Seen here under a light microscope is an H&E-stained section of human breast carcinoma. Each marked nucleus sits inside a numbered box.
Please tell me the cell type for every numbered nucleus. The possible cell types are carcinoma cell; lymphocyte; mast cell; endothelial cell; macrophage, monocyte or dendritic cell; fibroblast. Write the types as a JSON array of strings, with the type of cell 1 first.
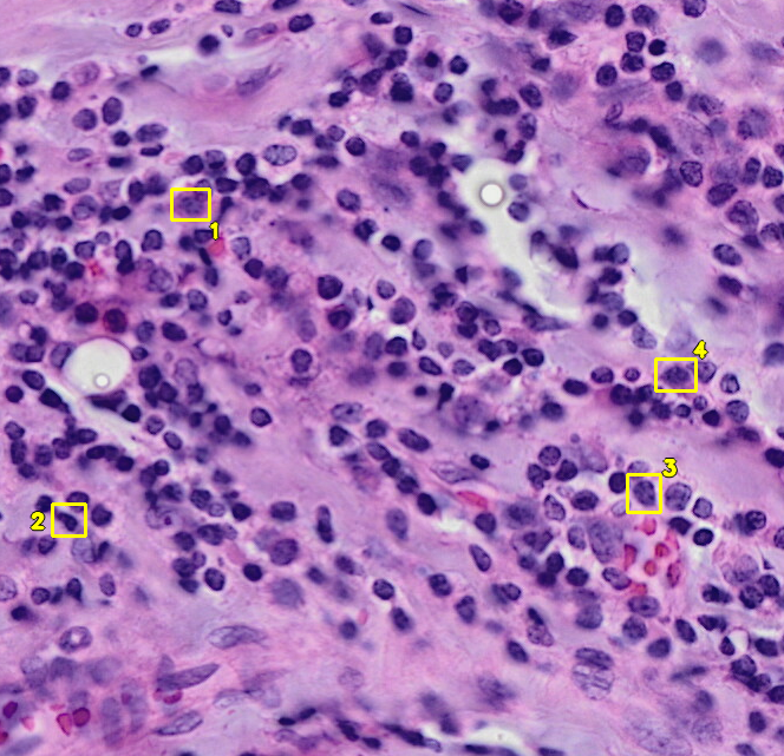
["mast cell", "lymphocyte", "lymphocyte", "lymphocyte"]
